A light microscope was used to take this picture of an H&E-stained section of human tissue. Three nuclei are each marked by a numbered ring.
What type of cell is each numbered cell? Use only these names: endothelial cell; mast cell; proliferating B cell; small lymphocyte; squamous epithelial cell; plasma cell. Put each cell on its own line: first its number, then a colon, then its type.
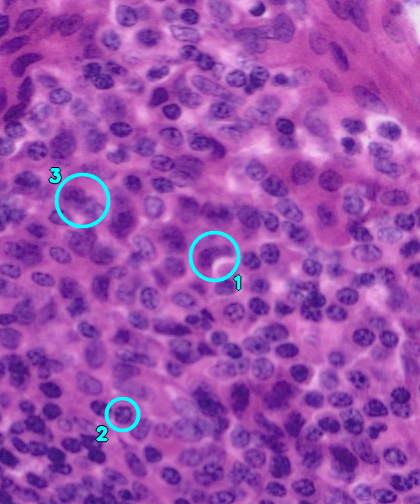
1: squamous epithelial cell
2: plasma cell
3: squamous epithelial cell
